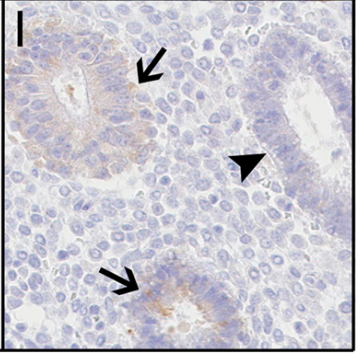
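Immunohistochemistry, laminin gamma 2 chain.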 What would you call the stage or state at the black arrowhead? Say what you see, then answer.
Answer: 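The arrowhead points at a gland whose epithelium is blue only, without brown. Nearby glands show pale brown staining in their epithelium.
Conclusion: negative glands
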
